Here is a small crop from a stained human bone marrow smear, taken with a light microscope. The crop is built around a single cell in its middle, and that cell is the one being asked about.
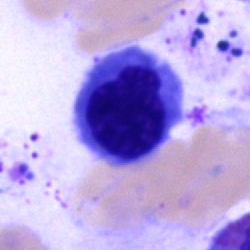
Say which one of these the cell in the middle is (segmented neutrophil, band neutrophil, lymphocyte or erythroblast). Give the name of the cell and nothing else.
erythroblast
